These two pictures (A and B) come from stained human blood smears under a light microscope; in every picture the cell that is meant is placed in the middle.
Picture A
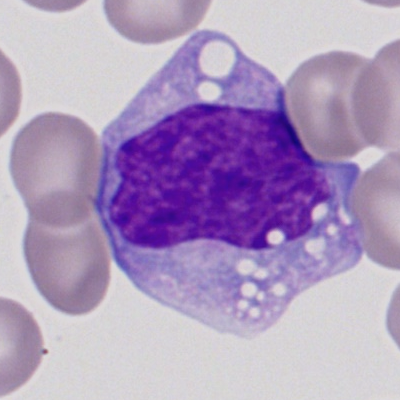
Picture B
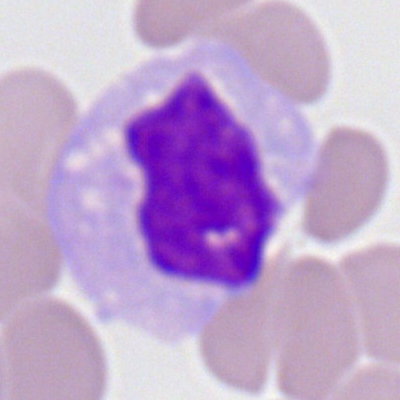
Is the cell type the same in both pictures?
yes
